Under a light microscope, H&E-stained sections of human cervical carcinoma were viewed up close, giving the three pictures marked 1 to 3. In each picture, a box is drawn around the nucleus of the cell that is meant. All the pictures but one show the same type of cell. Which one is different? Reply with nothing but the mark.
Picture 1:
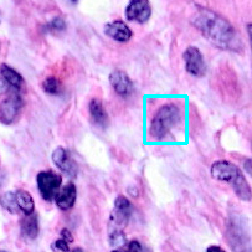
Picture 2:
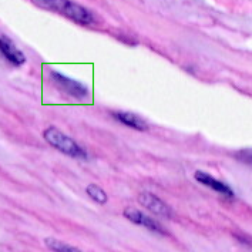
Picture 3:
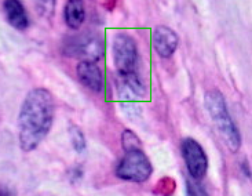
1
